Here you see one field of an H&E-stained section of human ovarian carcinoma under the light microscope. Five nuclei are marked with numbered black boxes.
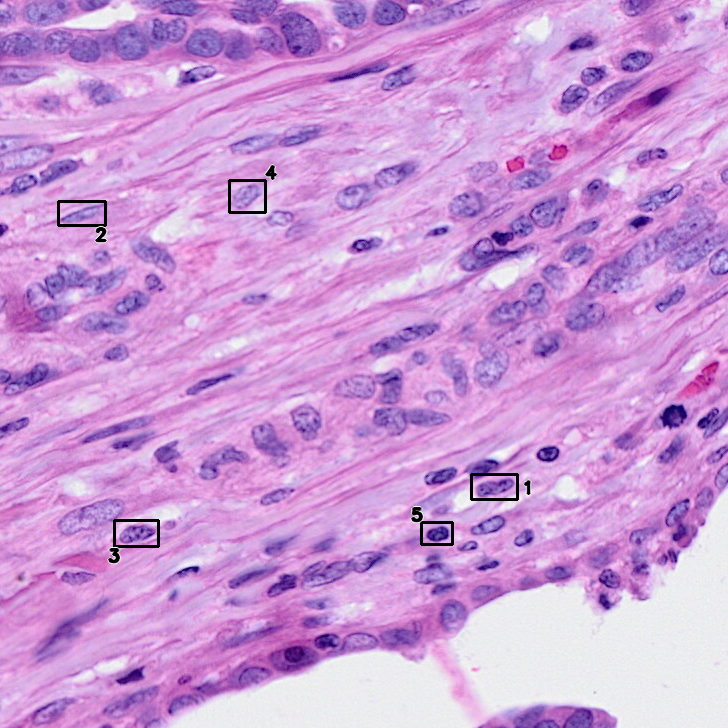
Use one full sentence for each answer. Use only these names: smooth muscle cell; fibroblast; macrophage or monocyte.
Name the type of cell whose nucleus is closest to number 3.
Closest to number 3 lies the nucleus of a fibroblast.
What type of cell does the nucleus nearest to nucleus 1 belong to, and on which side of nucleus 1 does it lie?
The nearest nucleus is that of a macrophage or monocyte and lies above and to the left of nucleus 1.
